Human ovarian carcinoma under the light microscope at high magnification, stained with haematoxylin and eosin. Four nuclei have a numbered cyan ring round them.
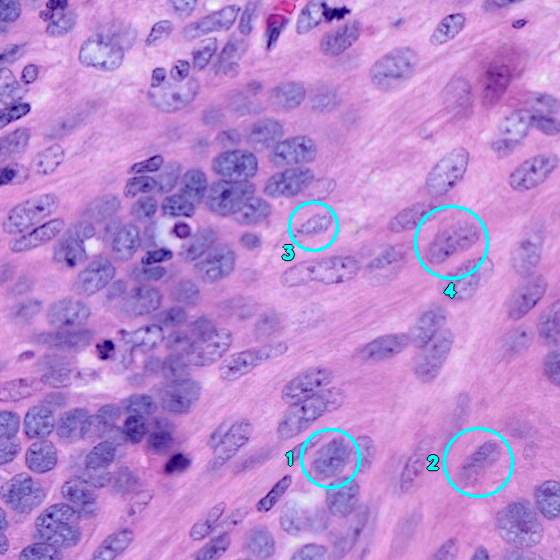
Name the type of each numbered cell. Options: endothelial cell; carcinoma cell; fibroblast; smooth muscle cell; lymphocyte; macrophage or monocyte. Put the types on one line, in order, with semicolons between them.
carcinoma cell; fibroblast; fibroblast; fibroblast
